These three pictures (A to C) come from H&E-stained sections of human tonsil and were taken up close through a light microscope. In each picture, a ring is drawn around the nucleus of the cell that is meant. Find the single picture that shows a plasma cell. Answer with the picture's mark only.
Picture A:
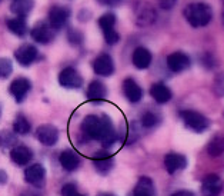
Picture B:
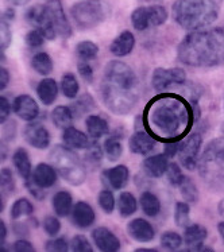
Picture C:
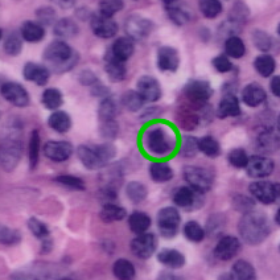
C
